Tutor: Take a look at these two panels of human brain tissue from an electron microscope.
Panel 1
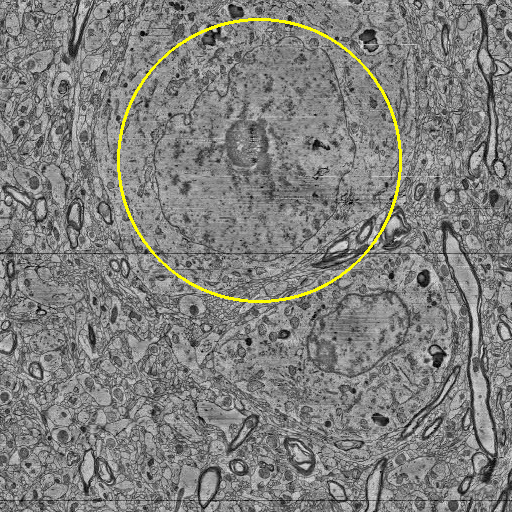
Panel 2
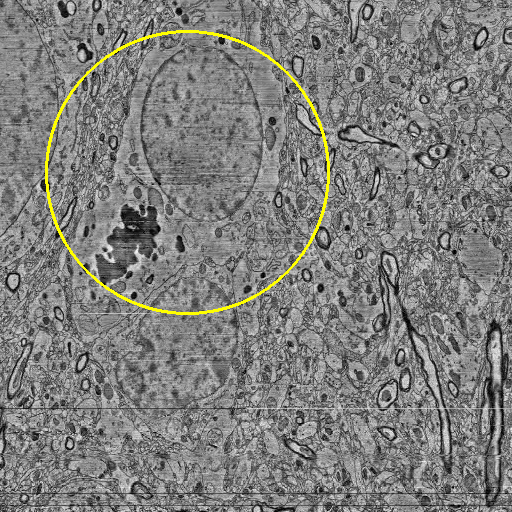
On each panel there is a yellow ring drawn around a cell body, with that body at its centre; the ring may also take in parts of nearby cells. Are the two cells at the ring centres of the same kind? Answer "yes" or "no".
no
